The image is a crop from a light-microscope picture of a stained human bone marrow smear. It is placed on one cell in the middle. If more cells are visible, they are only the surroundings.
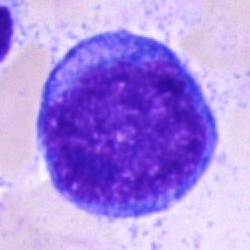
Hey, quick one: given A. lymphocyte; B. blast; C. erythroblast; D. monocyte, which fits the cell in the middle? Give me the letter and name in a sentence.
It is a blast that occupies the centre of the crop, so option B is correct.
